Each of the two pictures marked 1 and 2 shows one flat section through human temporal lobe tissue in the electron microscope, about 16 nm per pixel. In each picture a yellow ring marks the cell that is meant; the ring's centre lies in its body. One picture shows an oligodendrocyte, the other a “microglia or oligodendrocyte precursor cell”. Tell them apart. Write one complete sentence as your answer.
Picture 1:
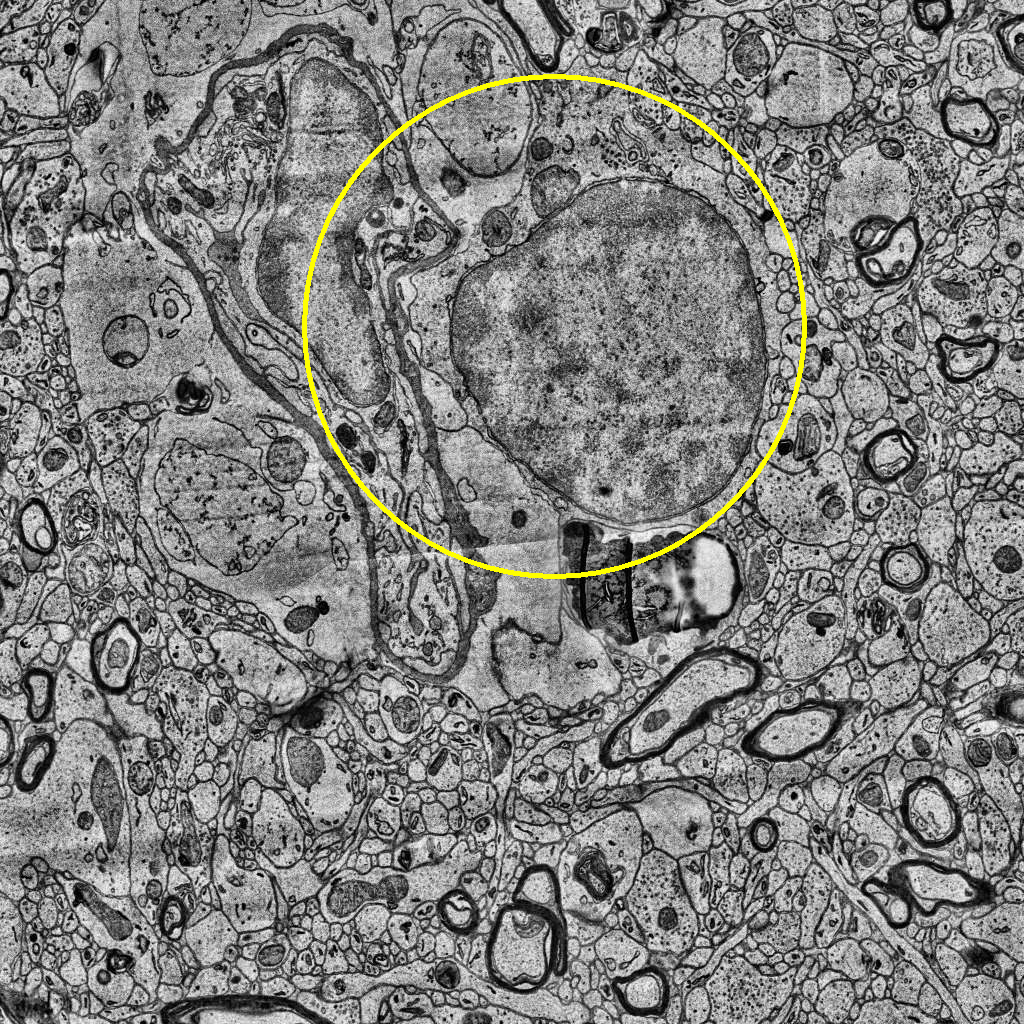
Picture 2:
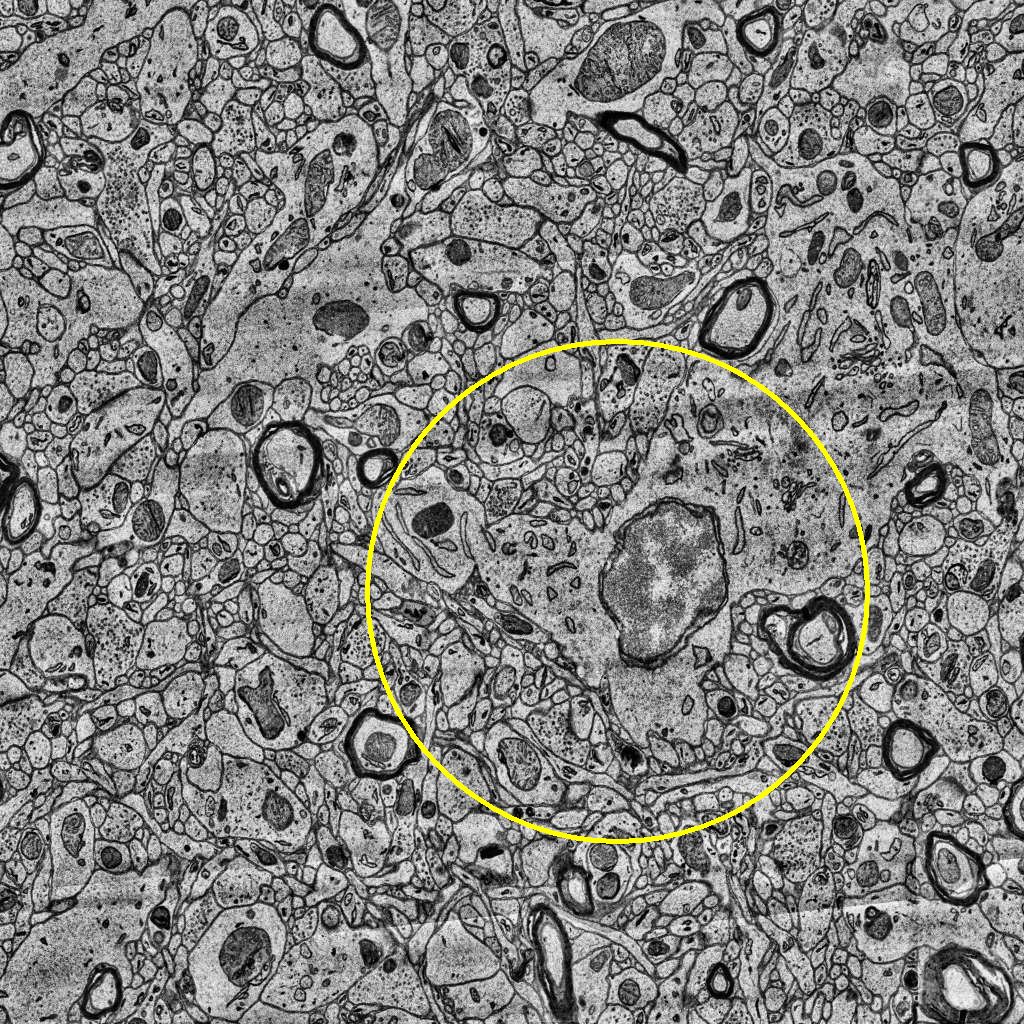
It is picture 1 that shows an oligodendrocyte, and picture 2 that shows a “microglia or oligodendrocyte precursor cell”.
